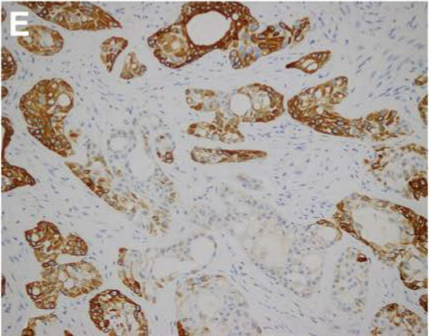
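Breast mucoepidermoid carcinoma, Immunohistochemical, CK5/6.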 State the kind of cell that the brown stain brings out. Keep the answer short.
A: polygonal cells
